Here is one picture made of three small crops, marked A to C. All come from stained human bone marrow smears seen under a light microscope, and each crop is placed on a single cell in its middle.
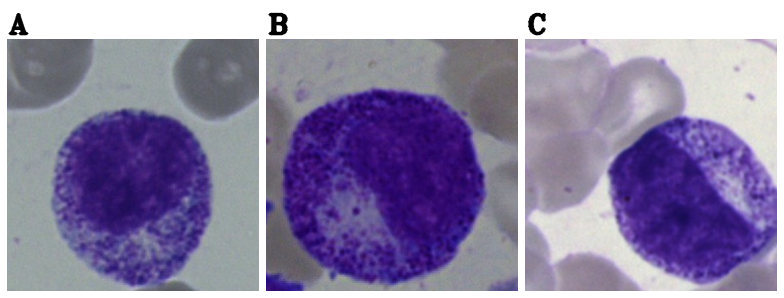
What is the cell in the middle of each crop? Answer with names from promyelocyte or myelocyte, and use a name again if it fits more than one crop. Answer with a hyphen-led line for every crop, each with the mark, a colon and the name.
- A: myelocyte
- B: promyelocyte
- C: myelocyte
